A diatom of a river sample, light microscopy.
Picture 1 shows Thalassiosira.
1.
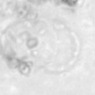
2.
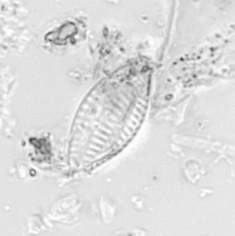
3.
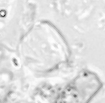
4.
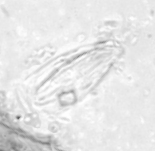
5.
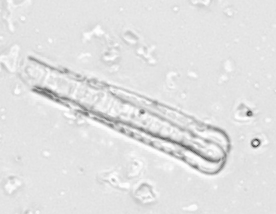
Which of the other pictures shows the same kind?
Picture 3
